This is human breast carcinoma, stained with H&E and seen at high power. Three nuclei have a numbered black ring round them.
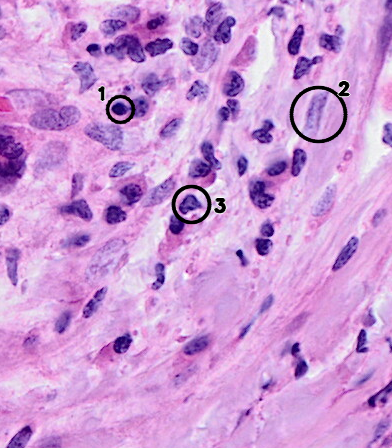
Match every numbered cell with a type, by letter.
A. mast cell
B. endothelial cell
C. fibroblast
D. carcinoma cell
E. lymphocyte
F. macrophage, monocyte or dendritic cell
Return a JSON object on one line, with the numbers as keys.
{"1": "E", "2": "C", "3": "E"}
